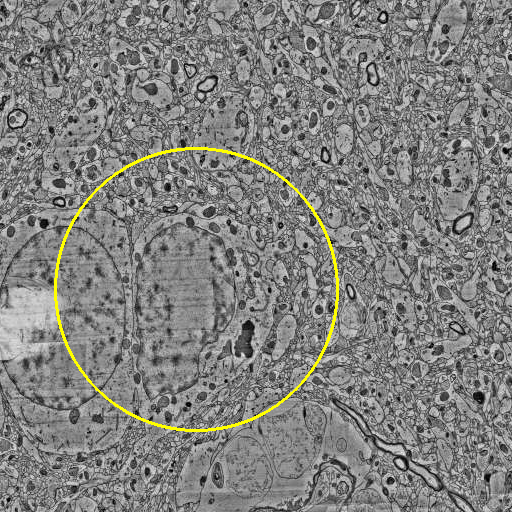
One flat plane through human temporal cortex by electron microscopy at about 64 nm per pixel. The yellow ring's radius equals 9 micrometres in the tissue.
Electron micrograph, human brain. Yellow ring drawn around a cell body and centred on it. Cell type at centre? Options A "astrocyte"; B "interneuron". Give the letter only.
B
